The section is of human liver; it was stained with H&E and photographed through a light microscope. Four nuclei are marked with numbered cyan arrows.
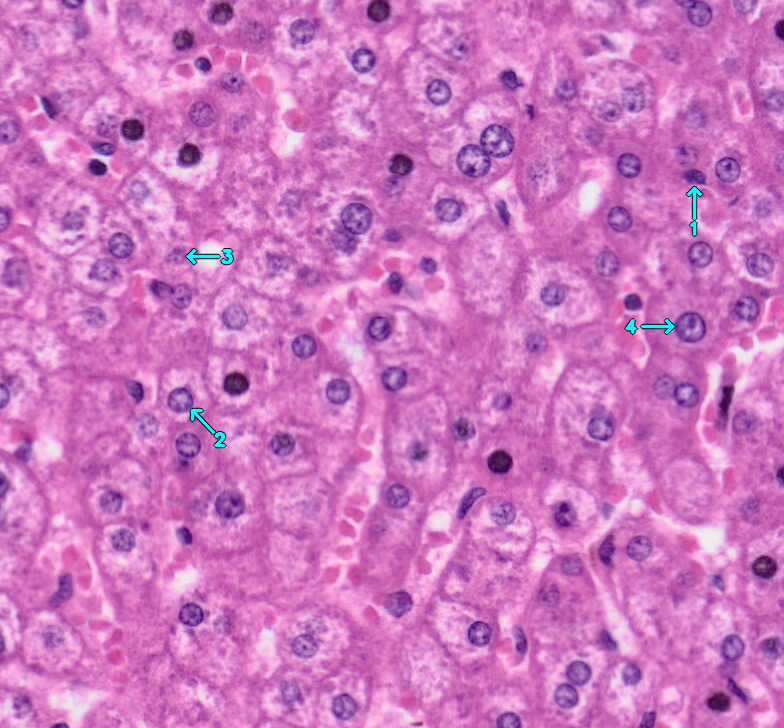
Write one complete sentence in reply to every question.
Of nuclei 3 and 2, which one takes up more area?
Nucleus 2 is larger, with an area about 2 times that of nucleus 3.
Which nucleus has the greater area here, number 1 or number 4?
Nucleus 4 covers more area, about 2.5 times as much as nucleus 1.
